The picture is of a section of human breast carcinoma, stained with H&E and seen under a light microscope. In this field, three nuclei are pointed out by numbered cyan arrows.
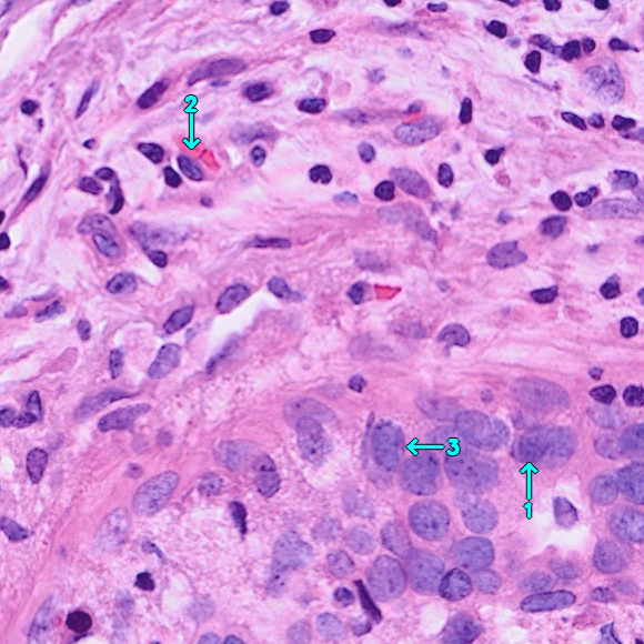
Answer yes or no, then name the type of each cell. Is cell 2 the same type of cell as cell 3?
No, cell 2 is an endothelial cell and cell 3 is a carcinoma cell.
